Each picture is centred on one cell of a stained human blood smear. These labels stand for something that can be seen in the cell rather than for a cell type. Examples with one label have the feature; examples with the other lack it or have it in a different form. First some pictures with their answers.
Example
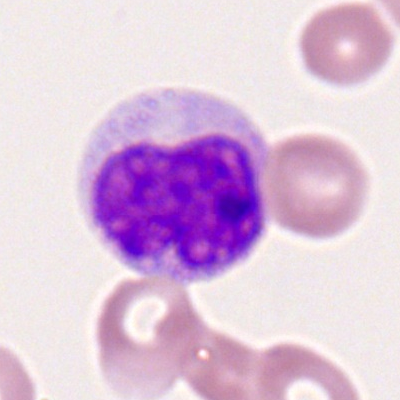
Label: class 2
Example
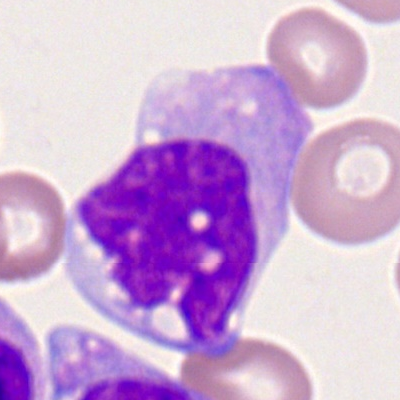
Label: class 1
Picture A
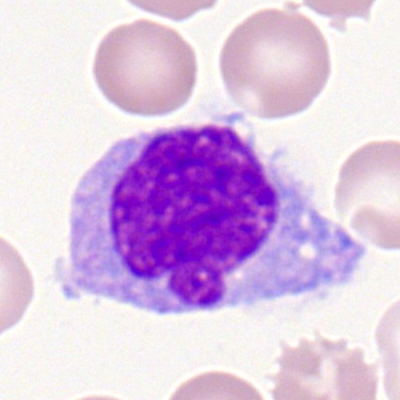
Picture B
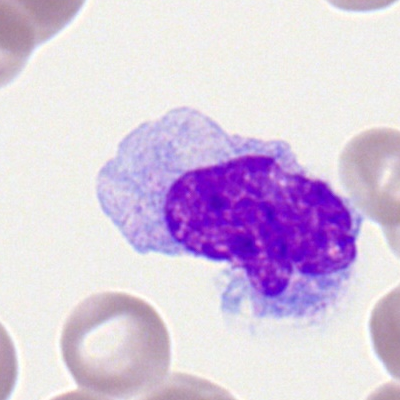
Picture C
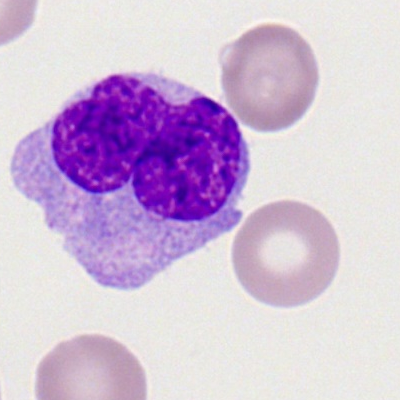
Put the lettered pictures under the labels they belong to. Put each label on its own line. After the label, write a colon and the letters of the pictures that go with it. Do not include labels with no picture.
class 1: A, B, C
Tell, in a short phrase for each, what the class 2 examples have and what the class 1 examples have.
class 2, scant cytoplasm; class 1, abundant cytoplasm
